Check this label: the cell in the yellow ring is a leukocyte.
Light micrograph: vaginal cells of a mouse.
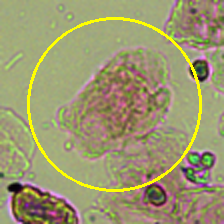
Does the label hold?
The label does not hold; the cell is a cornified epithelial cell.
